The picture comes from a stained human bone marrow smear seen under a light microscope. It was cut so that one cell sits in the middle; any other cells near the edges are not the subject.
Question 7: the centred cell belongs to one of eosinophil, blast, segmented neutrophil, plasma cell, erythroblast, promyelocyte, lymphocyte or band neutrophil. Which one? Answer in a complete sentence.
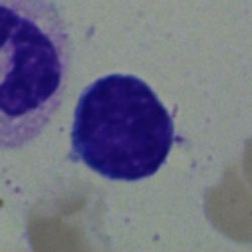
The crop centres on a single cell, and that cell is a lymphocyte.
